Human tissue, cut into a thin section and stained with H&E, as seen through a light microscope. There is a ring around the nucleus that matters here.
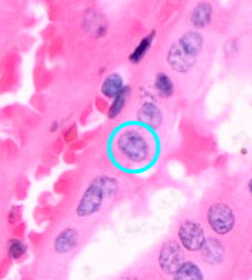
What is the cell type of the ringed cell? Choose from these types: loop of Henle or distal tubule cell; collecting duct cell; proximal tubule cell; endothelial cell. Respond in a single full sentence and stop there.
The category to which the ringed cell belongs is that of a collecting duct cell.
